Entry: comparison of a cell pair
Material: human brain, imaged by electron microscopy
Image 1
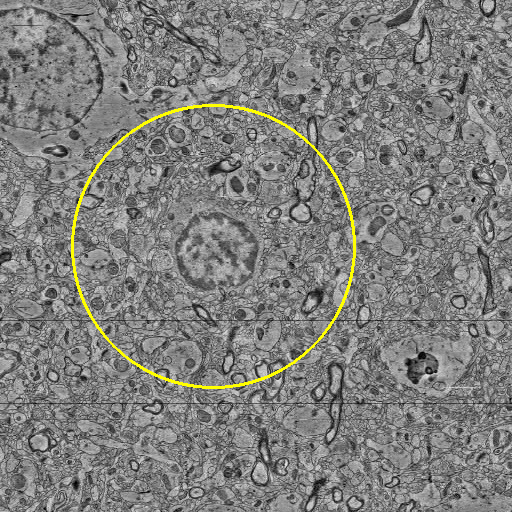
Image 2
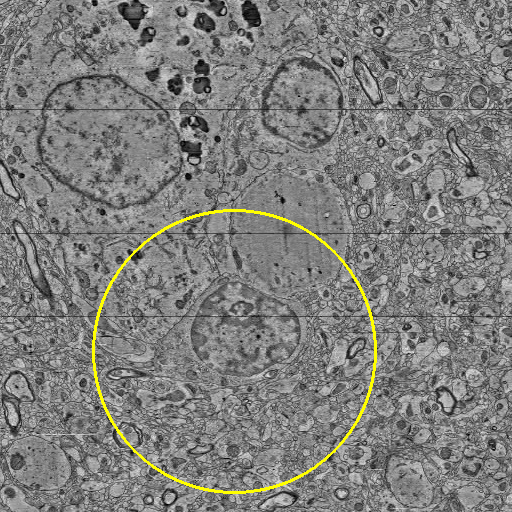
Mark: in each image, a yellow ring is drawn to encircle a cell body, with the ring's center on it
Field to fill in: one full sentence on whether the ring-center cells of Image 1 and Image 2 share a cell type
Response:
Yes, Image 1 and Image 2 each show a ring-center cell of one shared type.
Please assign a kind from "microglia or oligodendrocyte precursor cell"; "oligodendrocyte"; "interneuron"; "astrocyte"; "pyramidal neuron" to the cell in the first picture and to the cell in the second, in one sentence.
In each picture the ringed cell is an oligodendrocyte.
